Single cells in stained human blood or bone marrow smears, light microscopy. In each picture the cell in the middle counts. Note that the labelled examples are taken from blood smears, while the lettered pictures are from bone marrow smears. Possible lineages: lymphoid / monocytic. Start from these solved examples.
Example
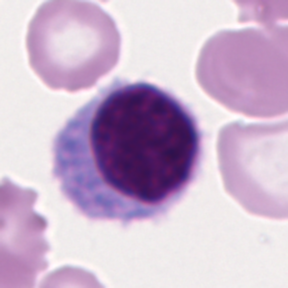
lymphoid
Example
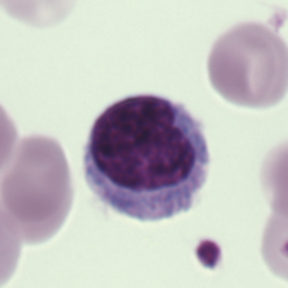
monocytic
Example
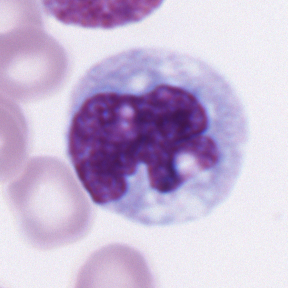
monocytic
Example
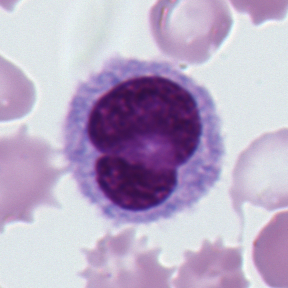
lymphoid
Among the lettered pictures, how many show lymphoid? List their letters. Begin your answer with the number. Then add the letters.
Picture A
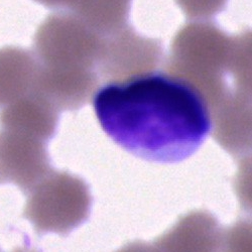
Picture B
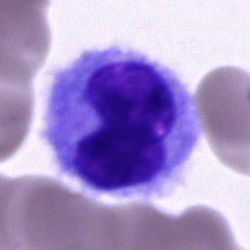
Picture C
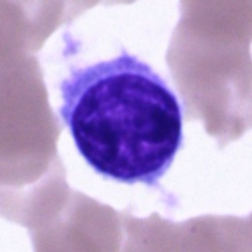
Count: 2 (A, C)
